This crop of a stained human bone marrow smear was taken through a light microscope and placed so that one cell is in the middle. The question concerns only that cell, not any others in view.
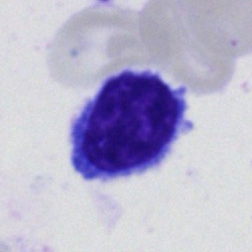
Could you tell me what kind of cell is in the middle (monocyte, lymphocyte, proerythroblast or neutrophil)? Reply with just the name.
lymphocyte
